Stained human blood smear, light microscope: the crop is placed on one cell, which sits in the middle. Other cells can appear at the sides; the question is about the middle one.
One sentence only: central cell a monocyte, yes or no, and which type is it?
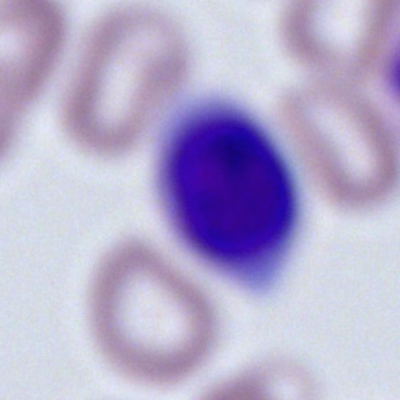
No, not a monocyte: the cell in the middle of this crop is a lymphocyte.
